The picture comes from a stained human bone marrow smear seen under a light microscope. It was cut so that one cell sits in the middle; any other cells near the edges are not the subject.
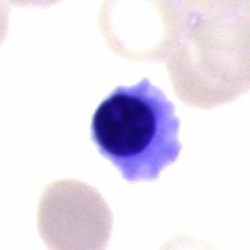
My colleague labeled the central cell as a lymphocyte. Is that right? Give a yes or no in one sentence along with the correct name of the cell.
No, the cell sitting in the centre of the crop is a normoblast, not a lymphocyte.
